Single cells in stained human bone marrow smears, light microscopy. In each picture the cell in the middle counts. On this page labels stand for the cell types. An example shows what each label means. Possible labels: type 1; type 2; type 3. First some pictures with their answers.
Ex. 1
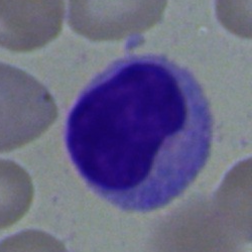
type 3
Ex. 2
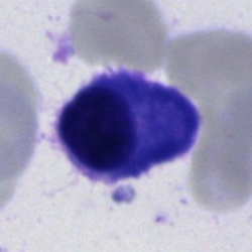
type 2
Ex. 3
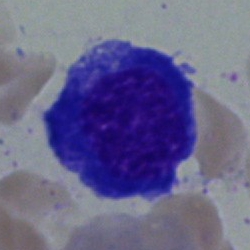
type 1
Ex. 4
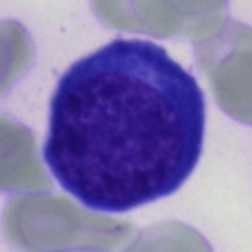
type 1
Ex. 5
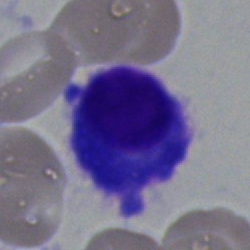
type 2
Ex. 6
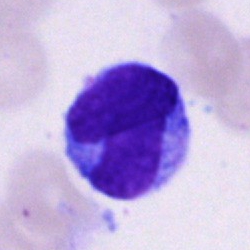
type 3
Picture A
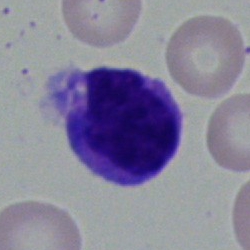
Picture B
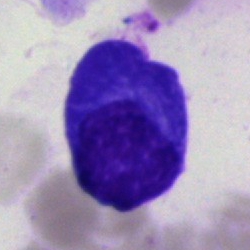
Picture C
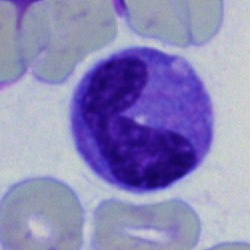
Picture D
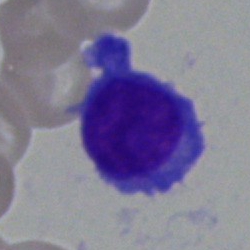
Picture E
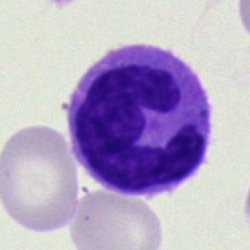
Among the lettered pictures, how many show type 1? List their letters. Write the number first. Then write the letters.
0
